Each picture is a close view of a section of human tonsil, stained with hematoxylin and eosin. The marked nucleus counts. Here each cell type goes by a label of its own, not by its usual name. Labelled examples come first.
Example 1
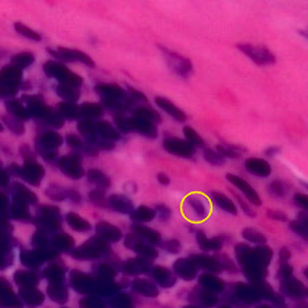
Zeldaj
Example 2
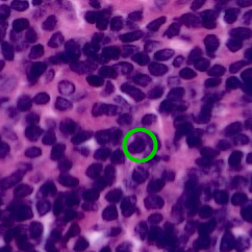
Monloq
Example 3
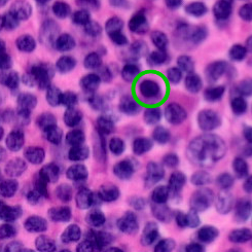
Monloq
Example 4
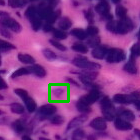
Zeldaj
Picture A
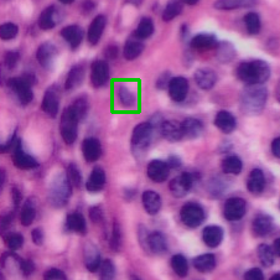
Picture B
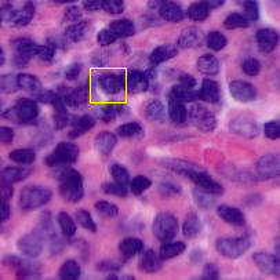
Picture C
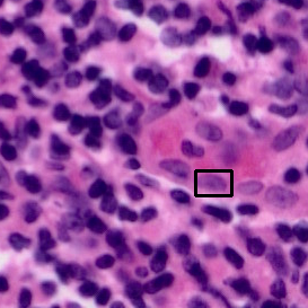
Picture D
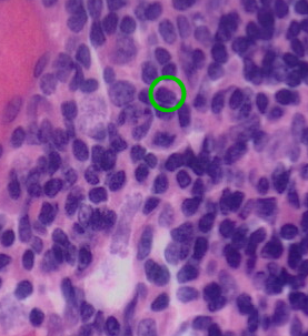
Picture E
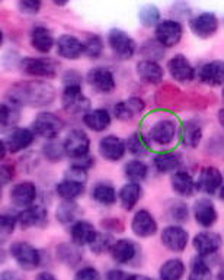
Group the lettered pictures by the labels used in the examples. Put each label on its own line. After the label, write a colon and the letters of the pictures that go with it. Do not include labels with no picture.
Zeldaj: A, C
Monloq: B, D, E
